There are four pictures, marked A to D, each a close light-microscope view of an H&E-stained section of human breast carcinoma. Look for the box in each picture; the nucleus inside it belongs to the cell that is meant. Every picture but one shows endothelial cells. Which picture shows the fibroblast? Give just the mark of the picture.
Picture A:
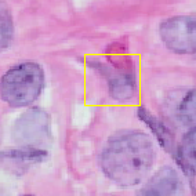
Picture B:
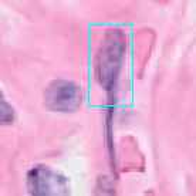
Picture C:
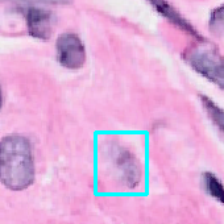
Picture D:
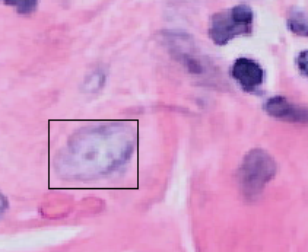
C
